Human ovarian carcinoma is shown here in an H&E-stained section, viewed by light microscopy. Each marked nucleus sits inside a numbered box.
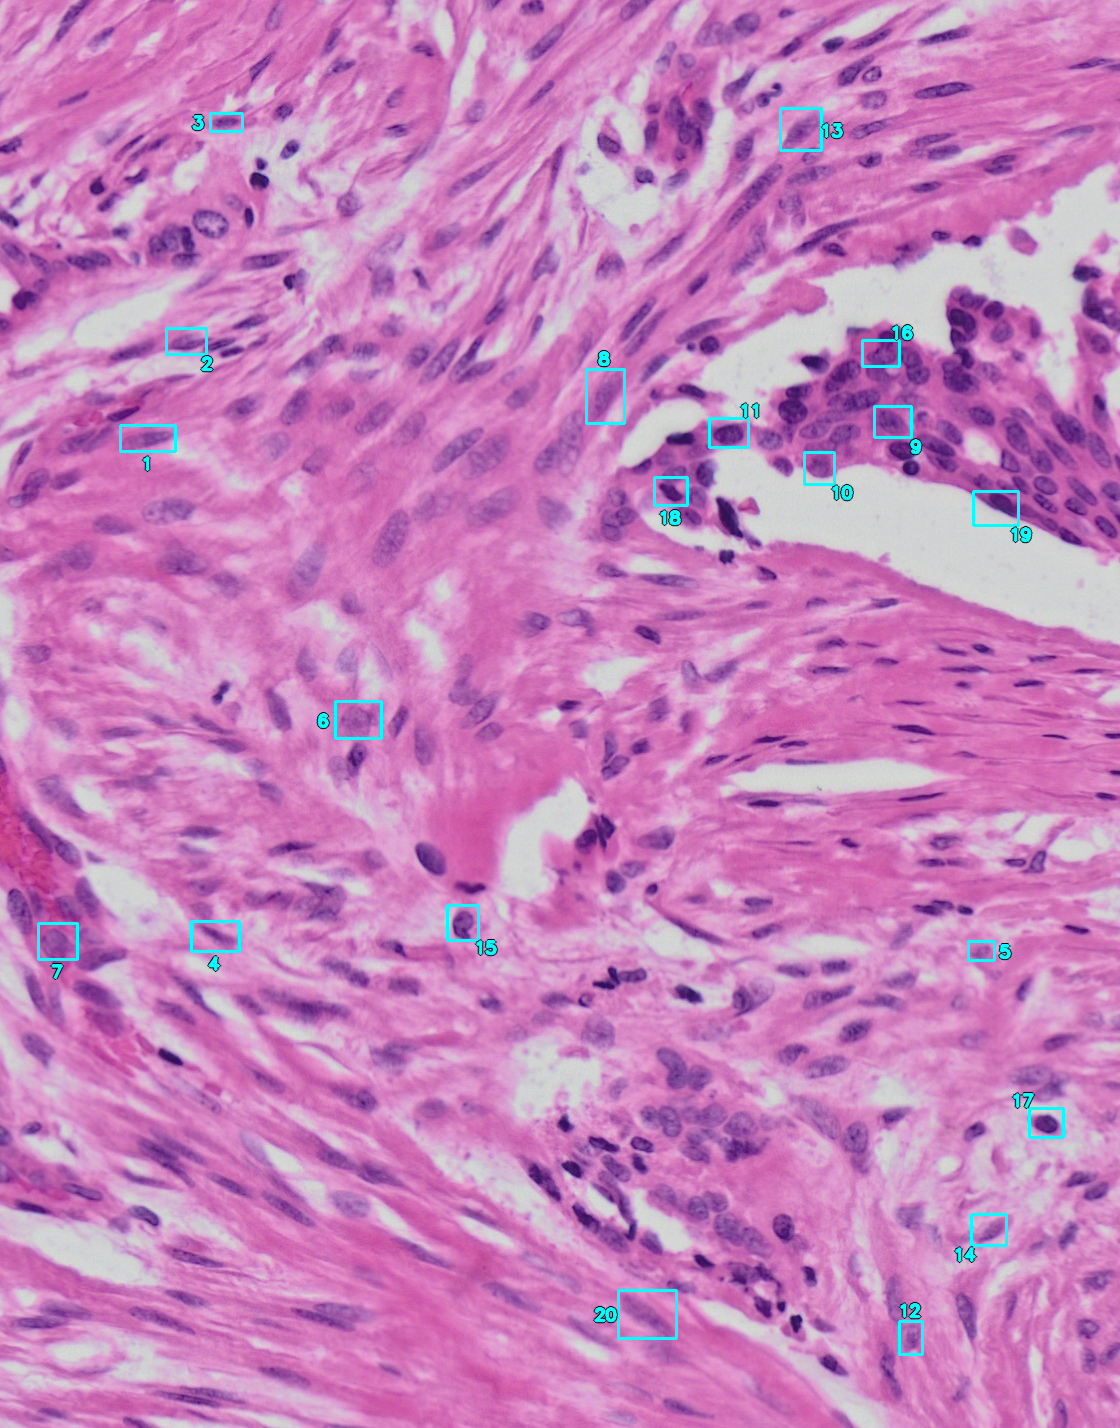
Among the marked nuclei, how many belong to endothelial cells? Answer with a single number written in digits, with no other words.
1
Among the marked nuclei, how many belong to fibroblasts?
11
